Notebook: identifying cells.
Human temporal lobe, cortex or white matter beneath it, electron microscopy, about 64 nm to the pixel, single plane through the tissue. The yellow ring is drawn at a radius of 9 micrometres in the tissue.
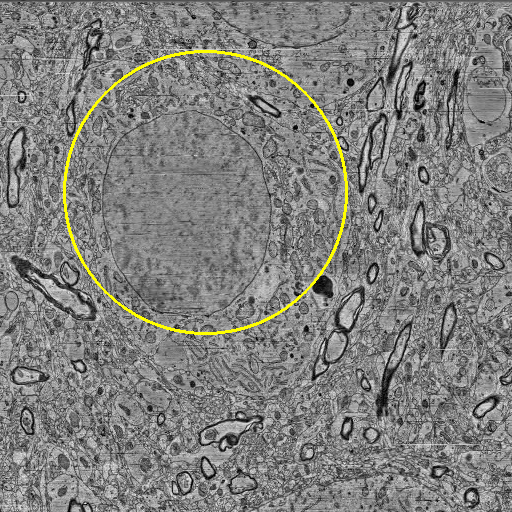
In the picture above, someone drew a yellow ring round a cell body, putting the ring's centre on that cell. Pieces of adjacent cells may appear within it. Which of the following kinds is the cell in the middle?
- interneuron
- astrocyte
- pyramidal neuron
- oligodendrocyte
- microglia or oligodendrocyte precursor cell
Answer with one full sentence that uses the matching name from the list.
In this picture, the yellow ring is centred on the body of an interneuron.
